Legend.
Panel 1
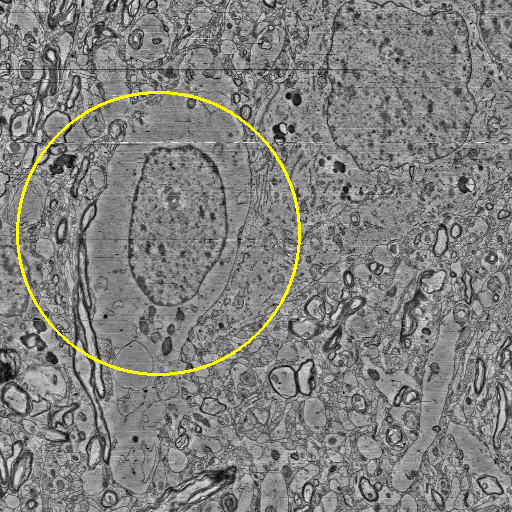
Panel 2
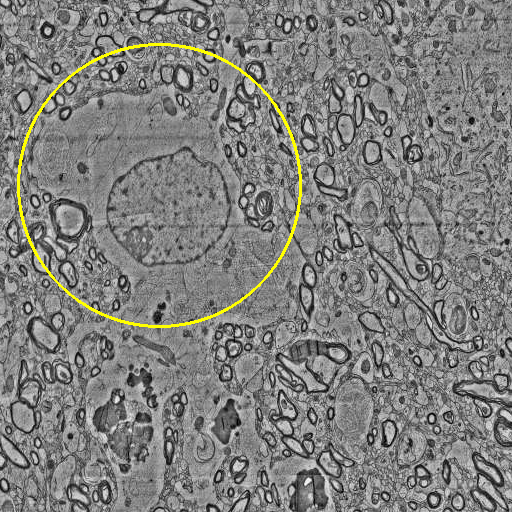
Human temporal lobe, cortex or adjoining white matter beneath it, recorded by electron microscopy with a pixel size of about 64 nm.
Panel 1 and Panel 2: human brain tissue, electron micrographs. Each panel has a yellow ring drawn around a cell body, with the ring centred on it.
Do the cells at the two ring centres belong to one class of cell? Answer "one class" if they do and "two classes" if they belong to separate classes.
one class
